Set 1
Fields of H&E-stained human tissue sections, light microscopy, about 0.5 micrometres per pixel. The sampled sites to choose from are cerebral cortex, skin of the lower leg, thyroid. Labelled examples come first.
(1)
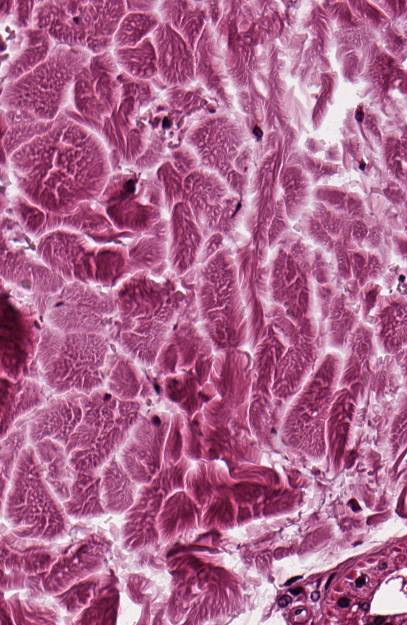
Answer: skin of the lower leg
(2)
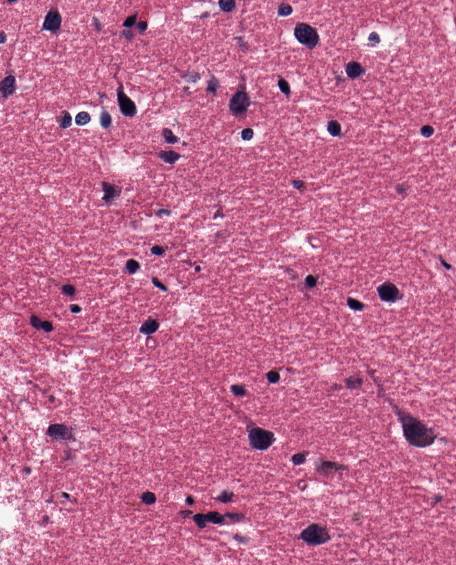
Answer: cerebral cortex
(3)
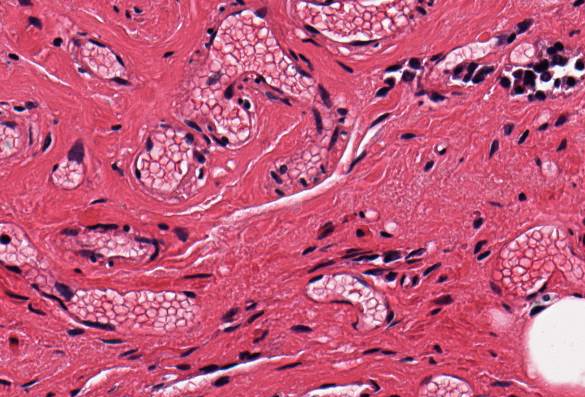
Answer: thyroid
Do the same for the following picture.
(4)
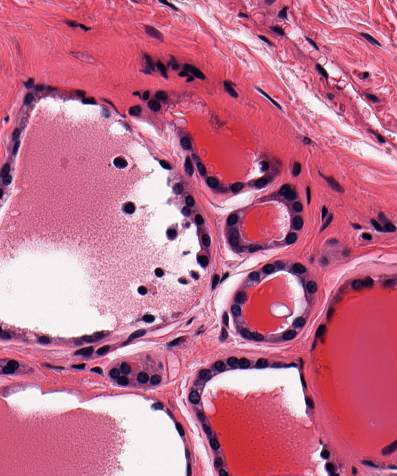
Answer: thyroid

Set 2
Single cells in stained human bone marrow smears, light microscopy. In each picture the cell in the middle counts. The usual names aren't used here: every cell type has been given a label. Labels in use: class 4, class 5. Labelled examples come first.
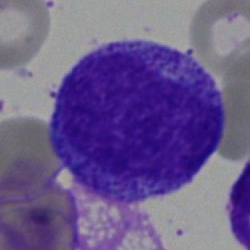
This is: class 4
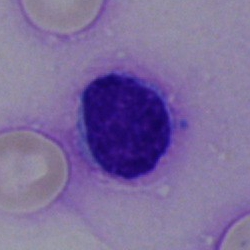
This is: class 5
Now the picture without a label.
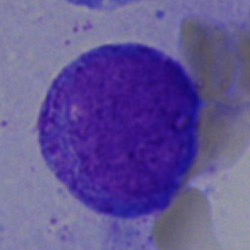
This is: class 4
